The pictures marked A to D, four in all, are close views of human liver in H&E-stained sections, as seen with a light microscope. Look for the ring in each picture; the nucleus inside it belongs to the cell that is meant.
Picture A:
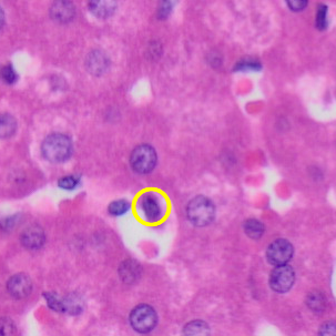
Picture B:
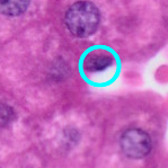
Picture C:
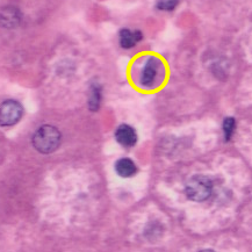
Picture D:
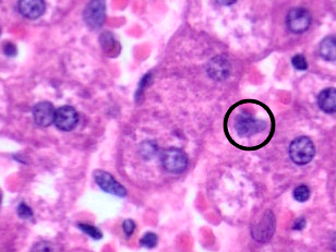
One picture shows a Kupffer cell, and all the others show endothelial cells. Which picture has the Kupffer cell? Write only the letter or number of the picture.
A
